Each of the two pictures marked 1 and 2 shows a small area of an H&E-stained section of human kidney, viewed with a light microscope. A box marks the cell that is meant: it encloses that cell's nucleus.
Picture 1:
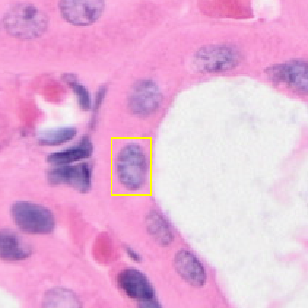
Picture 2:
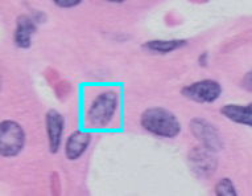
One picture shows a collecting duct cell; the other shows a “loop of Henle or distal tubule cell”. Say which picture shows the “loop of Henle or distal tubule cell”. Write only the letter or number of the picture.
1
